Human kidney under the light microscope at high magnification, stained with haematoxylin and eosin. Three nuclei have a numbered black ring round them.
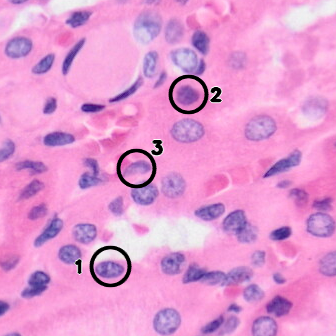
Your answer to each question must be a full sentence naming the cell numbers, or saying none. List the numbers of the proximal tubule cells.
Of all the numbered cells, only cell 2 is a proximal tubule cell.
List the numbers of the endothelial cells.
Cell number 3 alone is an endothelial cell; the rest are not.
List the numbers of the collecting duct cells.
None of the cells indicated by numbers are collecting duct cells.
